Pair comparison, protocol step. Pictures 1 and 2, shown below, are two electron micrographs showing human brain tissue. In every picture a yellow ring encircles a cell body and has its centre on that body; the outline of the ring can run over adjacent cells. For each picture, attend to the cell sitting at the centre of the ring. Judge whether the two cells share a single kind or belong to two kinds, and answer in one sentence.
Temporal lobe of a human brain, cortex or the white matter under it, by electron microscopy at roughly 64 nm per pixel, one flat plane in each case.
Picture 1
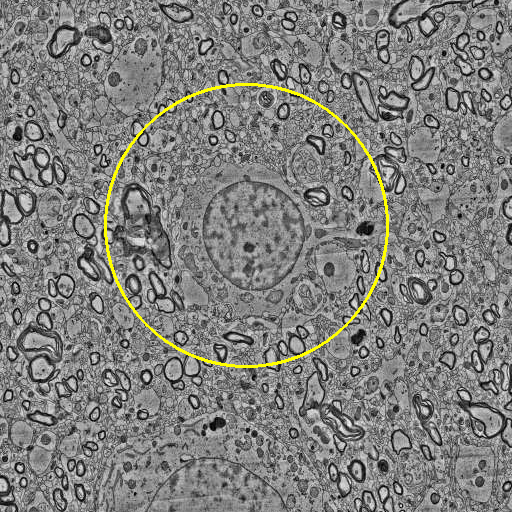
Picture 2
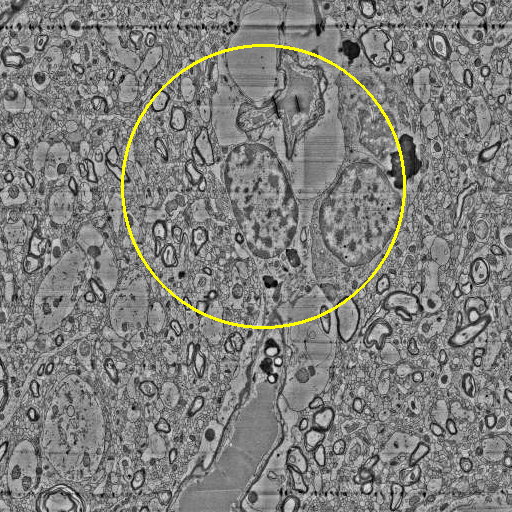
The two cells at the ring centres in Picture 1 and Picture 2 belong to two kinds.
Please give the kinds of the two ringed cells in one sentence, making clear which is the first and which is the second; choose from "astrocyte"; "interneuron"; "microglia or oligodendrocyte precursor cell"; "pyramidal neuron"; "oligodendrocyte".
In the second picture the ringed cell is a microglial cell or oligodendrocyte precursor cell; in the first it is an oligodendrocyte.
